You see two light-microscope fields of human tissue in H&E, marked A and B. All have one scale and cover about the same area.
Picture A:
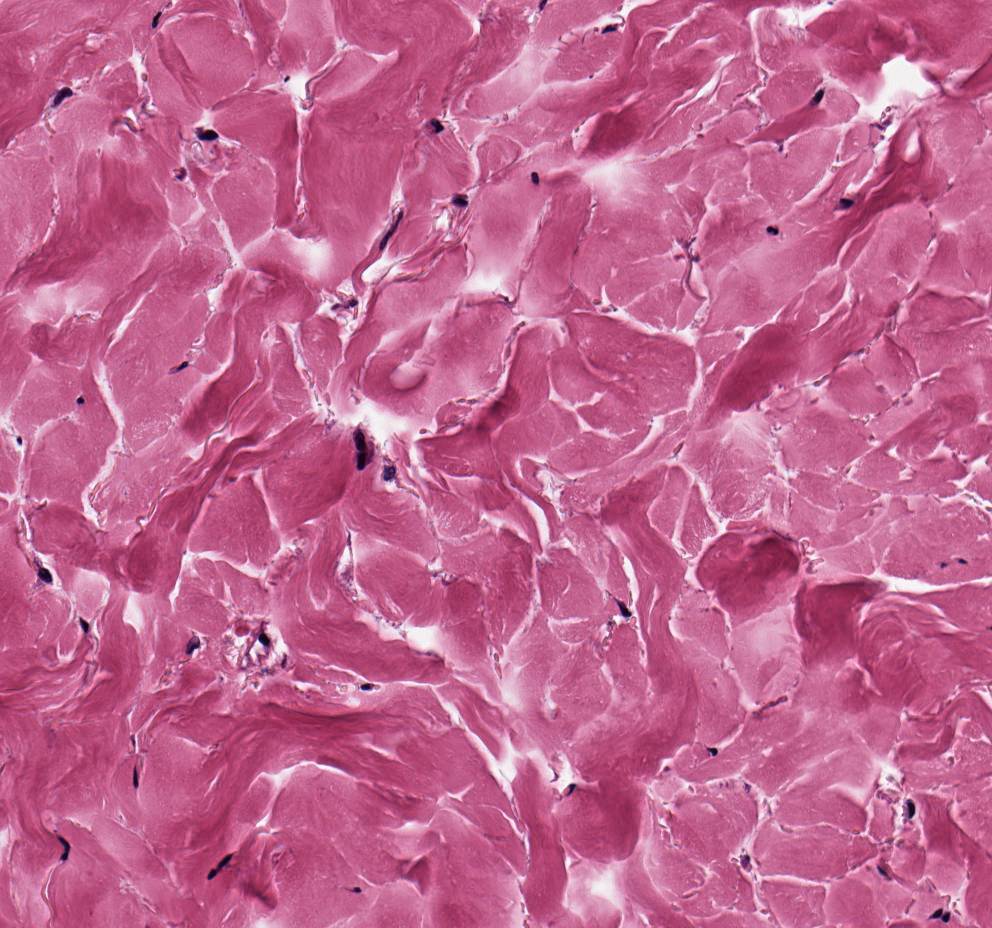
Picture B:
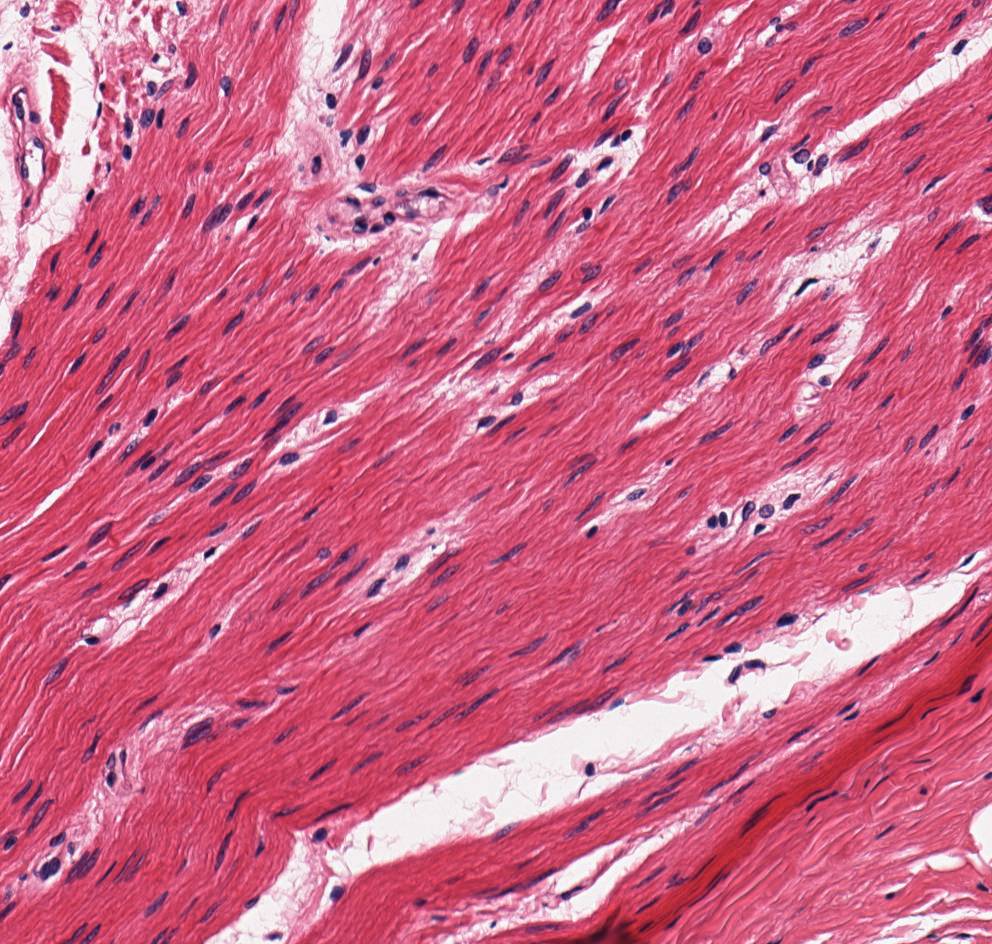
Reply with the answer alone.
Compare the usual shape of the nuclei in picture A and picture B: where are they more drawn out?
B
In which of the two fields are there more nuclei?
B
